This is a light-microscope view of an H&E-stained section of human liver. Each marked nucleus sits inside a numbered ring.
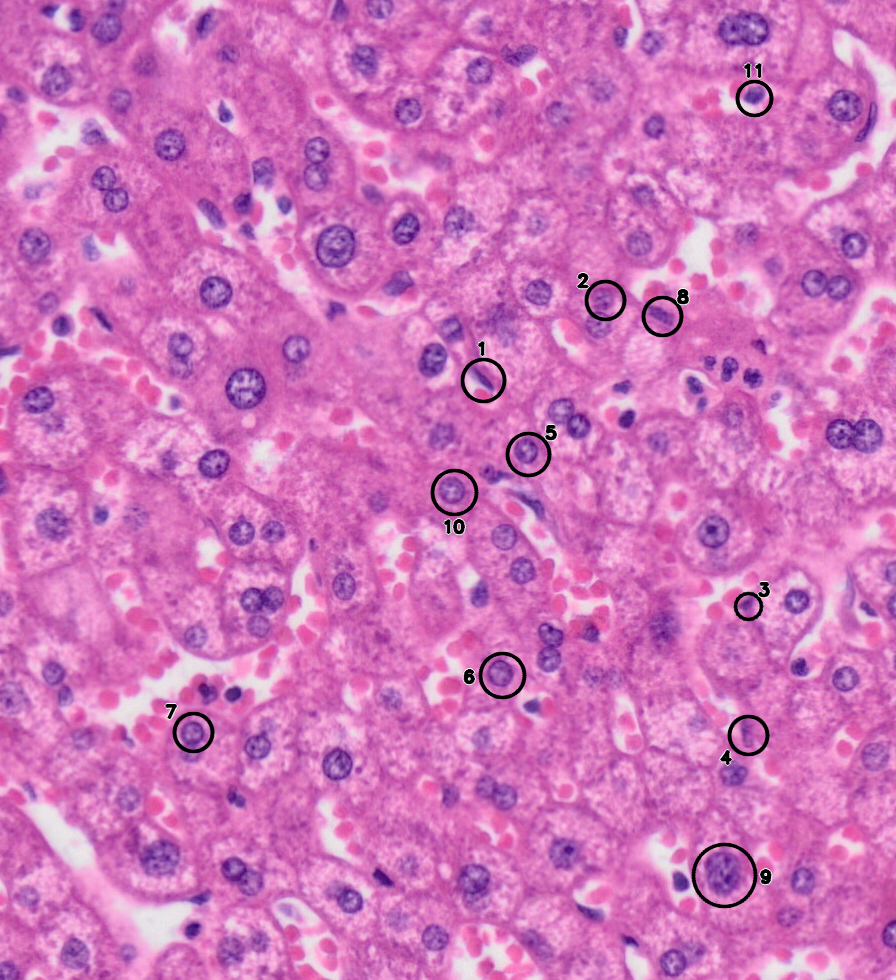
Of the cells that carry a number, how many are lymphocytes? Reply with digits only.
1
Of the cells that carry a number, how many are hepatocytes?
6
